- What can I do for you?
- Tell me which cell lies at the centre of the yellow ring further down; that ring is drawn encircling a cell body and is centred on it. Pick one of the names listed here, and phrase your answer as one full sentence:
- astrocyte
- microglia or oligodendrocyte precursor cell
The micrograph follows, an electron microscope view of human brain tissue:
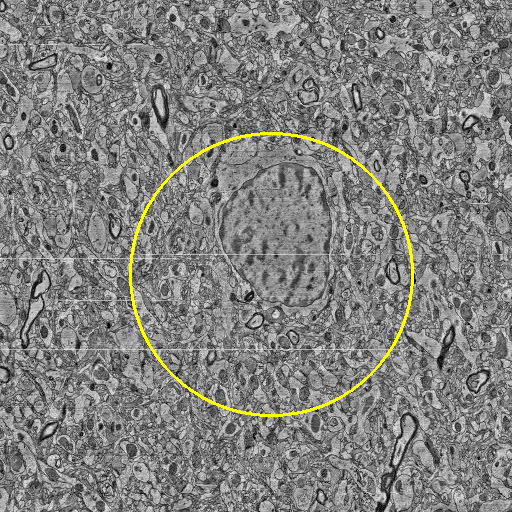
The cell whose body lies at the centre of the yellow ring is a microglial cell or oligodendrocyte precursor cell.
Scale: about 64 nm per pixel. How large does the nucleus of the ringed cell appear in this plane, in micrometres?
The nucleus is approximately 10 micrometers long by 7 micrometers wide in this plane.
